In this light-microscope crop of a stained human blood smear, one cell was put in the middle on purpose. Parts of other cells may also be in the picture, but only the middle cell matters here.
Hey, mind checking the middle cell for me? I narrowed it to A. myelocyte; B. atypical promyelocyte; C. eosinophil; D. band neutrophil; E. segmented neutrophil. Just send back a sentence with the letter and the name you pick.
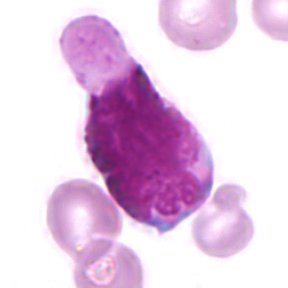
Option B holds up: the cell in the middle is an atypical promyelocyte.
